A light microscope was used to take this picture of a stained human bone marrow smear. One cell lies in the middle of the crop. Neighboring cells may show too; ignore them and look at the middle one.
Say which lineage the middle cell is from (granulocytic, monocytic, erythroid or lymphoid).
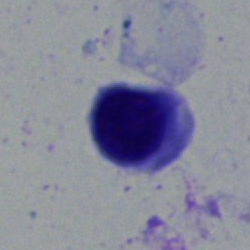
erythroid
